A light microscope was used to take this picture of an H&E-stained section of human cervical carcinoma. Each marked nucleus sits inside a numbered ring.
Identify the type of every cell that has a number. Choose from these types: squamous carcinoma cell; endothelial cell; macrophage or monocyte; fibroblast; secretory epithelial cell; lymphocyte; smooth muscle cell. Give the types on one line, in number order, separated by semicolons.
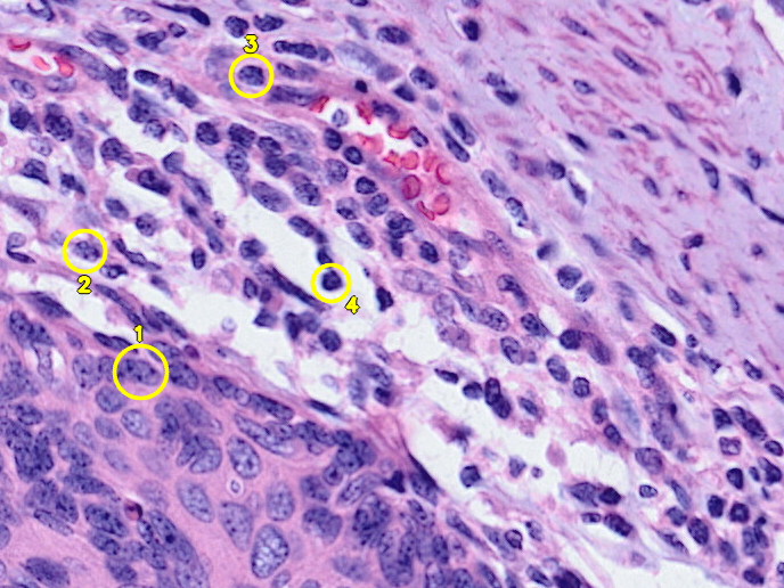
squamous carcinoma cell; lymphocyte; lymphocyte; lymphocyte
